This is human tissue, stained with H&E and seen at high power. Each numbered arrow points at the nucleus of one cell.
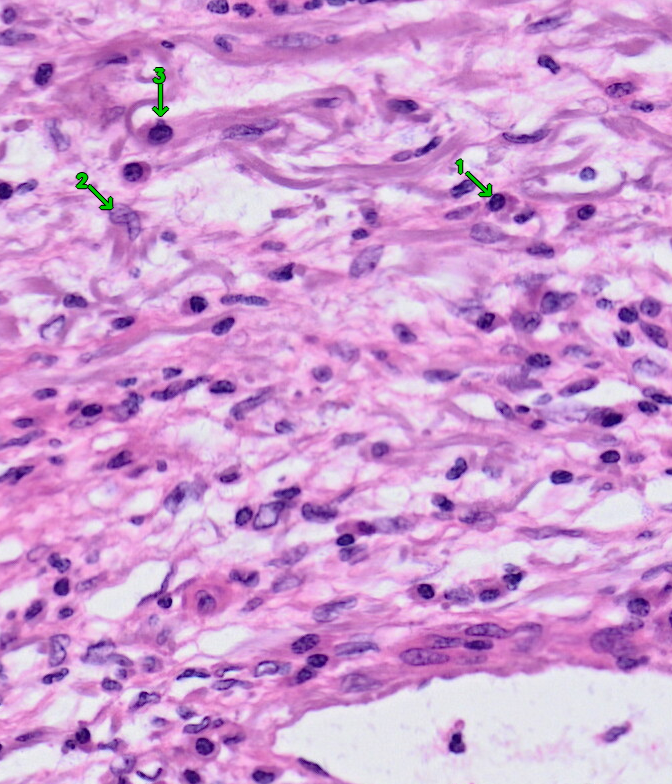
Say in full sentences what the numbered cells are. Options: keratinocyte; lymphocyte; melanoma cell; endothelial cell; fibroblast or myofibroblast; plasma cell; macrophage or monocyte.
Cell 1 is a plasma cell, cell 2 is a fibroblast or myofibroblast and cell 3 is a plasma cell.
